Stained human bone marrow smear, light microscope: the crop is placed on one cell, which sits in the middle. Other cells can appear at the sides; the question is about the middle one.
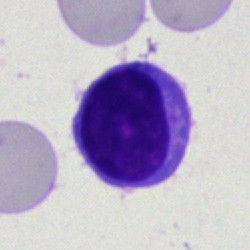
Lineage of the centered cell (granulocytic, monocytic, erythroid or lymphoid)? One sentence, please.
The cell in the middle belongs to the lymphoid lineage.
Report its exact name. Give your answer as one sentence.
The cell featured at the centre of this crop is a lymphocyte.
